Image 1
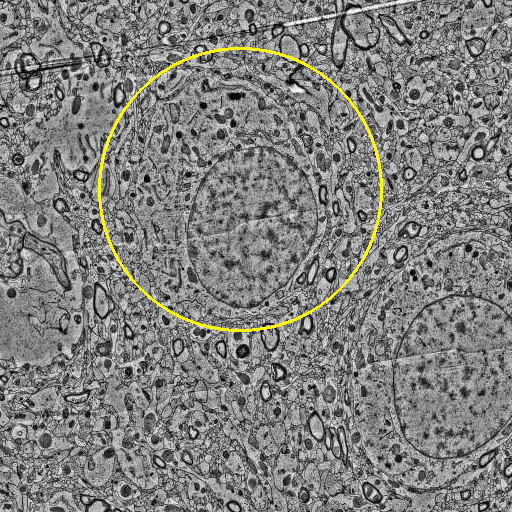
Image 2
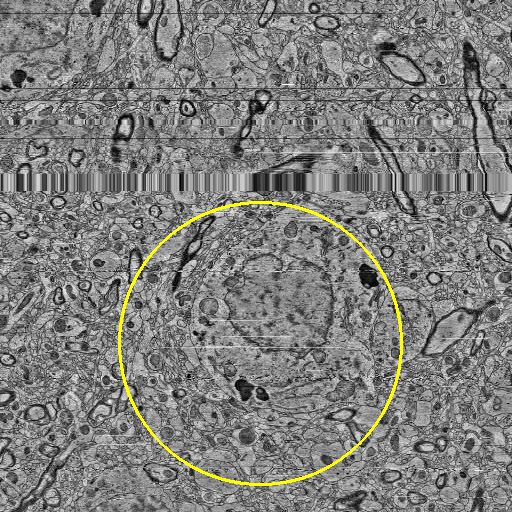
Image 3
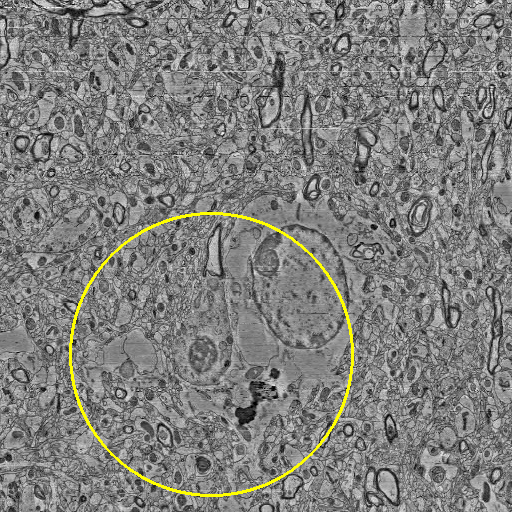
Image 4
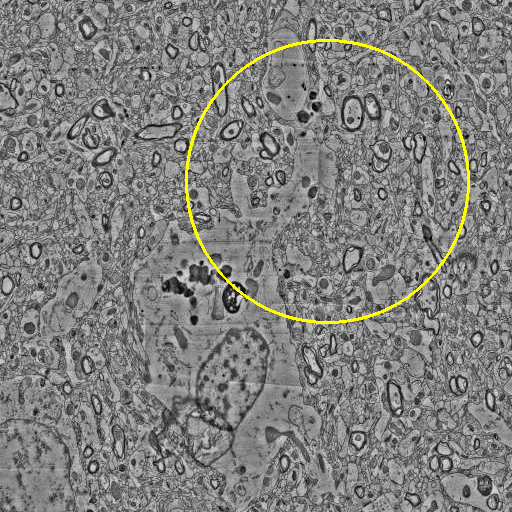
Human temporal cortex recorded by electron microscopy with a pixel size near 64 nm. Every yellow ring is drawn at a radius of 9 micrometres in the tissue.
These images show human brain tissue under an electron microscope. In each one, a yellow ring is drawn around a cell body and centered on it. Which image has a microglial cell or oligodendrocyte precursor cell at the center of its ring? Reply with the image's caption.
Image 4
